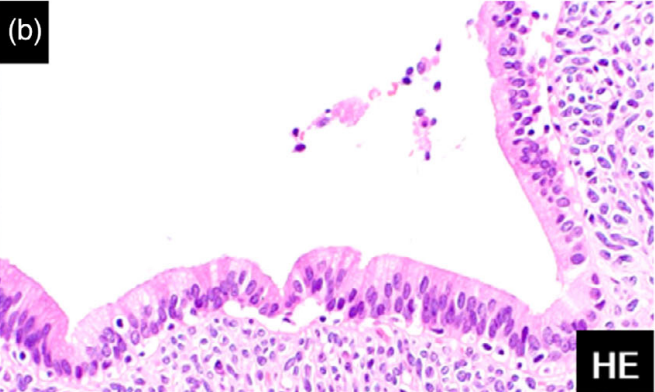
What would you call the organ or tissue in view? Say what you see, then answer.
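Columnar epithelium. A single layer of tall cells lines the lumen.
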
